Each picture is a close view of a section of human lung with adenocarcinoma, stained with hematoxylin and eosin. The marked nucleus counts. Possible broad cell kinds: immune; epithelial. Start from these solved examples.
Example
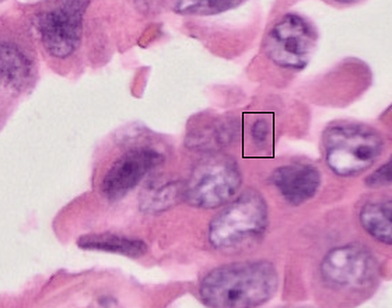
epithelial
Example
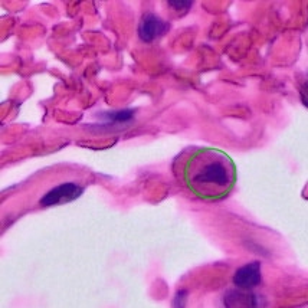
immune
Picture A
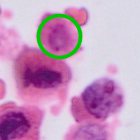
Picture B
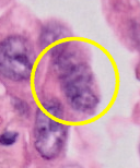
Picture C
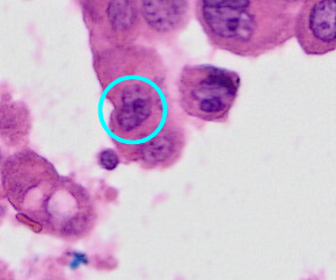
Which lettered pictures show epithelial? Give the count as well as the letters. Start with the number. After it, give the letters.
Count: 2 (B, C)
